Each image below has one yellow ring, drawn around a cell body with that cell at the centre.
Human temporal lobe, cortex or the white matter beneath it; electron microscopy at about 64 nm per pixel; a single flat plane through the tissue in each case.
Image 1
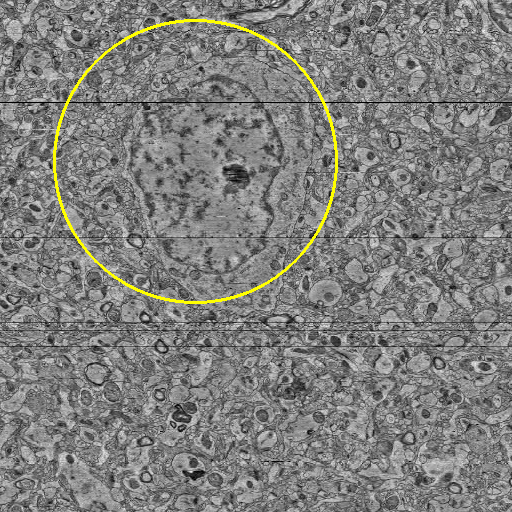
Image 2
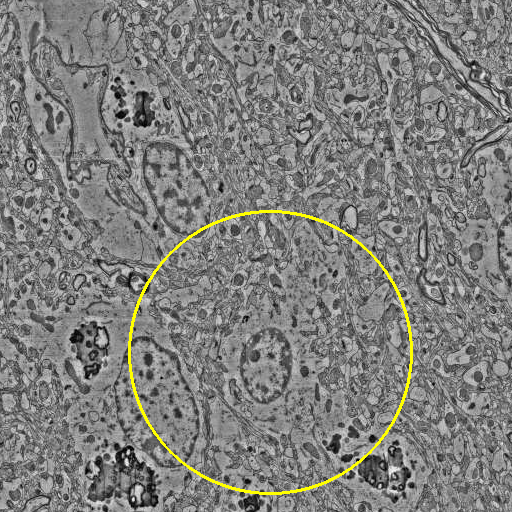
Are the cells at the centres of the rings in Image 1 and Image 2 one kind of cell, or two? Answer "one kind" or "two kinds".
two kinds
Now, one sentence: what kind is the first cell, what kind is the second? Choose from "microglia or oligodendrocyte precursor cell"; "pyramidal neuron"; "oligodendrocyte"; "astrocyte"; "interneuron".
The first picture has an interneuron at its ring centre, and the second has an astrocyte.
